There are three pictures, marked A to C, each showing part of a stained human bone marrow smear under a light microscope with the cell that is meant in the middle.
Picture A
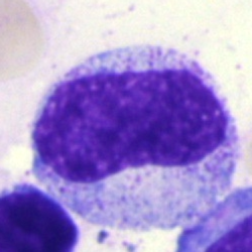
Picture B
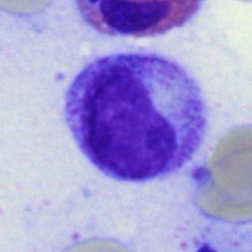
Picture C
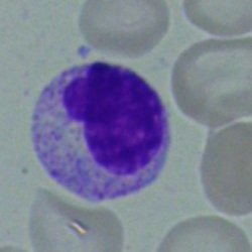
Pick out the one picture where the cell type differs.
C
